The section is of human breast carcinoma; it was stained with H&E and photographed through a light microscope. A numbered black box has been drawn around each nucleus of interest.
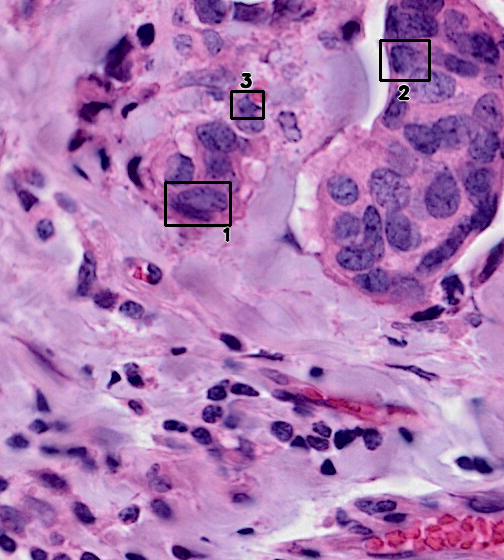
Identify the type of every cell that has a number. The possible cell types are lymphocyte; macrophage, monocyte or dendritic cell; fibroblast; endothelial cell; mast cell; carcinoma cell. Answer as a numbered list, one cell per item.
1. carcinoma cell
2. carcinoma cell
3. endothelial cell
